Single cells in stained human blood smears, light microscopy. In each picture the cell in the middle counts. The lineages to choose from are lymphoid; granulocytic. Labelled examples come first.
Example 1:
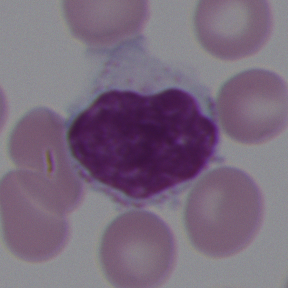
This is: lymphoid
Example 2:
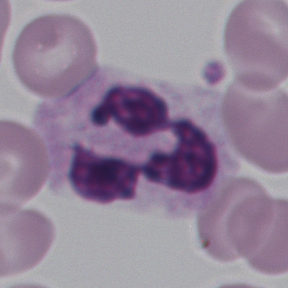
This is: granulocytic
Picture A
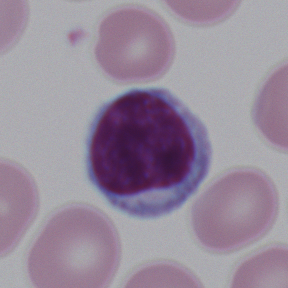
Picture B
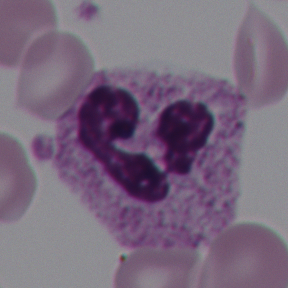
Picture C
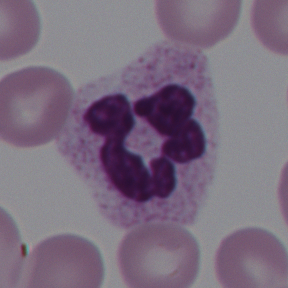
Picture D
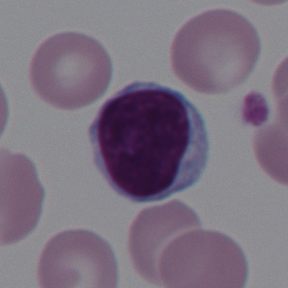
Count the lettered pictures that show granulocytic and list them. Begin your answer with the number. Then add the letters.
2: B, C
